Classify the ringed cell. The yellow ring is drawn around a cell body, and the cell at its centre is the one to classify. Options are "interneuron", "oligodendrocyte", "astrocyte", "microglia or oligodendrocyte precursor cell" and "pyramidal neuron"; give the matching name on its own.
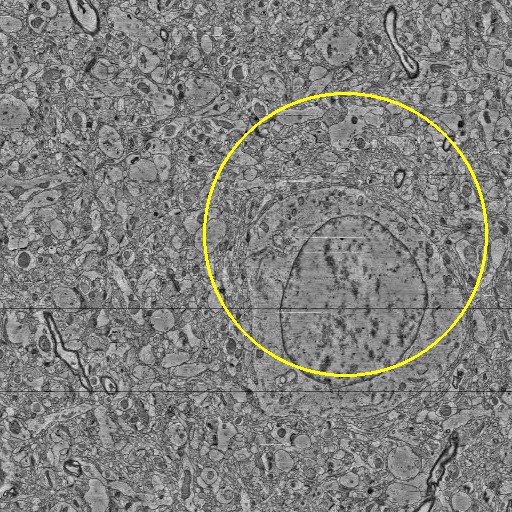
pyramidal neuron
